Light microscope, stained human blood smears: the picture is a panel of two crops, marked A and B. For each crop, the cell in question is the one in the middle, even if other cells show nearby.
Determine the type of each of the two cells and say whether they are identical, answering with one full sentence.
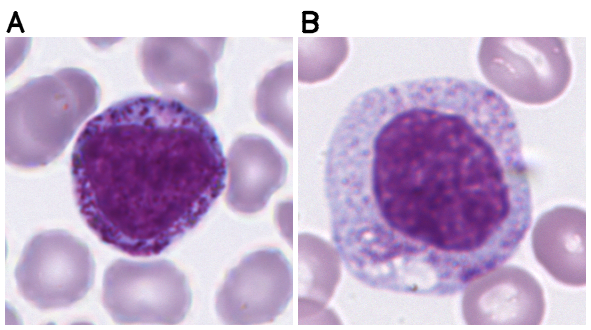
Yes, as shown in both crops, the central cells are myelocytes.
